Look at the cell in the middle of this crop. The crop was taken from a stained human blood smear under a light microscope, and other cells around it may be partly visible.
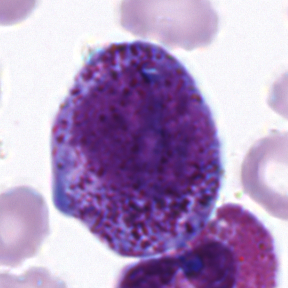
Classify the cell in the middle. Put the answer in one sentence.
The cell around which this crop is centred is a promyelocyte.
